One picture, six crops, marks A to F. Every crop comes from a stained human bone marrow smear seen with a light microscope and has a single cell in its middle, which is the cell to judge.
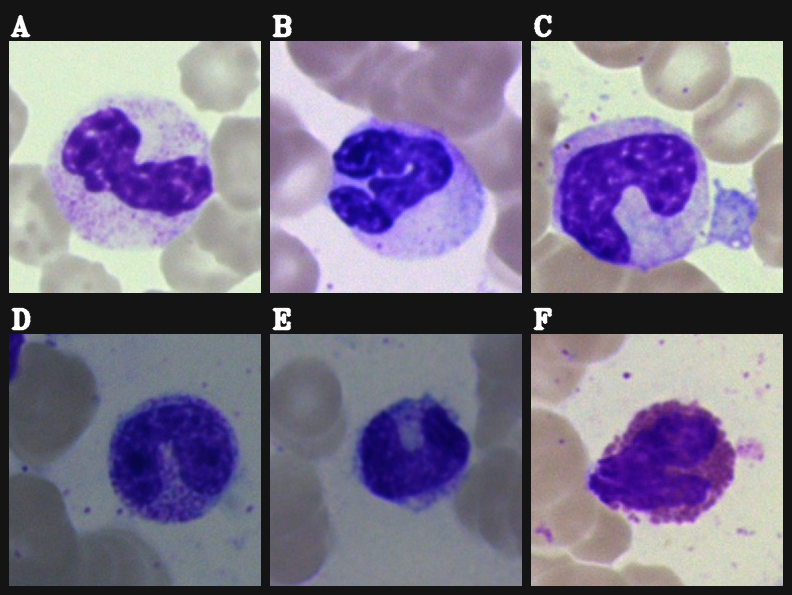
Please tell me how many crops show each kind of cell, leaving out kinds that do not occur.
band neutrophil: 3
segmented neutrophil: 2
eosinophil: 1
